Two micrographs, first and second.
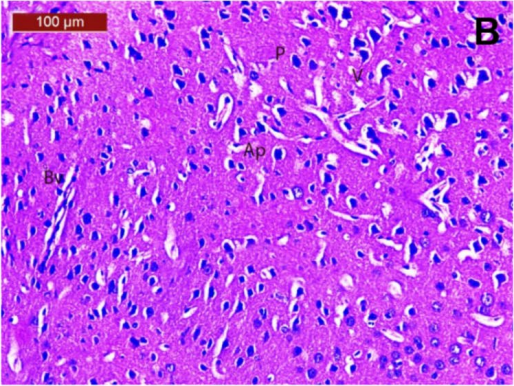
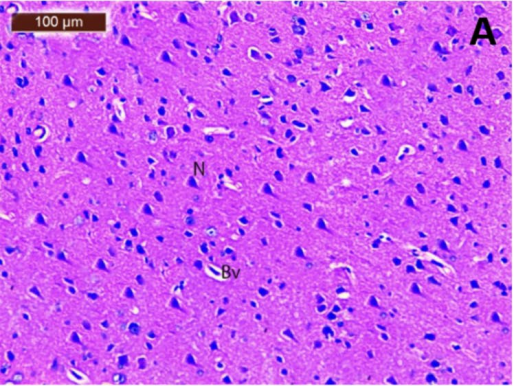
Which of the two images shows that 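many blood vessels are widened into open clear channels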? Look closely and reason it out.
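The first image. First image: numerous long, gaping empty channels run across the field. Second image: only a few narrow vessels, the tissue compact.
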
